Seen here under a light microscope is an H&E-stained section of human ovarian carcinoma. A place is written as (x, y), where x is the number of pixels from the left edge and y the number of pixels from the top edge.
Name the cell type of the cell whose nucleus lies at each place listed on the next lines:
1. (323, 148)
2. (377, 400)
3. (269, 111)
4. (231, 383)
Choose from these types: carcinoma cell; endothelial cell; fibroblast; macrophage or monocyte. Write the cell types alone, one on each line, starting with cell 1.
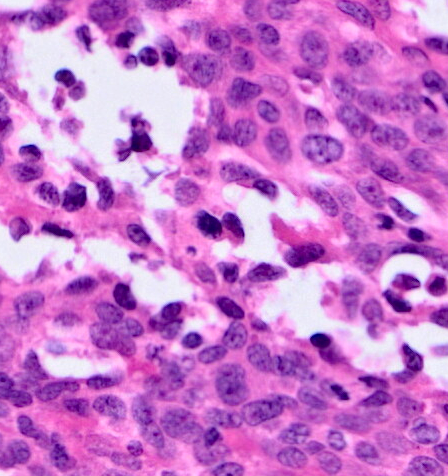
macrophage or monocyte
carcinoma cell
macrophage or monocyte
carcinoma cell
